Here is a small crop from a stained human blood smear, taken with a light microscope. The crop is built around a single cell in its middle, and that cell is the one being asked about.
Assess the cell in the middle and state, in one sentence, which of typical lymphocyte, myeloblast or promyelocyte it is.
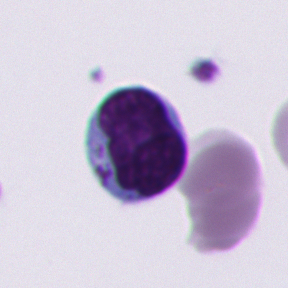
Occupying the centre of the crop is a typical lymphocyte.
